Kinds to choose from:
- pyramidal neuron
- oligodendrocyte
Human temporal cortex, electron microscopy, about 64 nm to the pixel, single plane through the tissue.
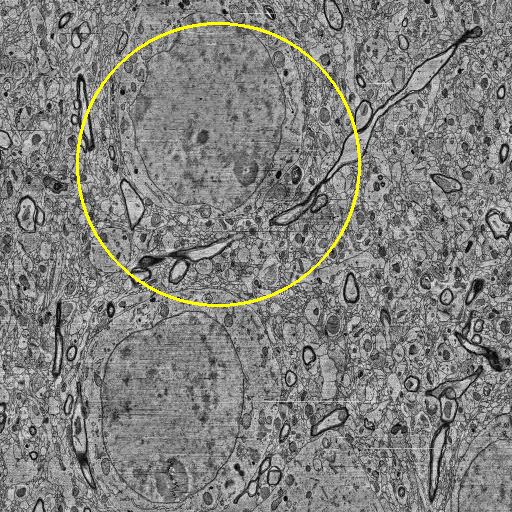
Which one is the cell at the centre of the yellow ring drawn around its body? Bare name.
pyramidal neuron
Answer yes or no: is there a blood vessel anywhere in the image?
No, no vessel shows anywhere in the image.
